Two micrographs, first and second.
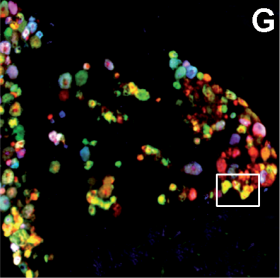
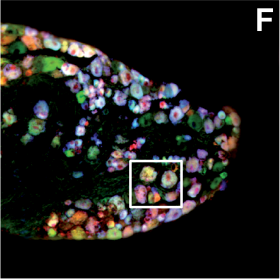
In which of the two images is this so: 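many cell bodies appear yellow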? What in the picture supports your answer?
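Second image: most cell bodies appear whitish or pink, with few yellow ones. First image: many cell bodies appear yellow.
The first image.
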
